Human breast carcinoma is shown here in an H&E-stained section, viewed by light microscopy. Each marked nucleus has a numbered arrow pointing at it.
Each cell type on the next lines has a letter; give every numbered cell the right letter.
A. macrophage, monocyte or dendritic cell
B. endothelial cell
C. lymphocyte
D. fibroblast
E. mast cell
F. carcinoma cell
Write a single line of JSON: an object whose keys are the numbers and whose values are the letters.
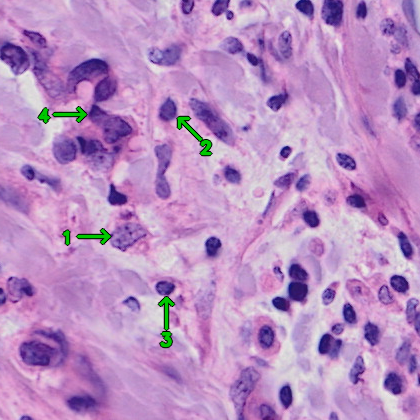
{"1": "A", "2": "C", "3": "C", "4": "F"}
